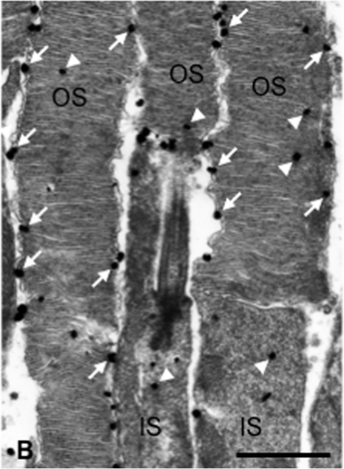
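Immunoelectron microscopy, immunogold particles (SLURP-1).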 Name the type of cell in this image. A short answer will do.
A: photoreceptors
